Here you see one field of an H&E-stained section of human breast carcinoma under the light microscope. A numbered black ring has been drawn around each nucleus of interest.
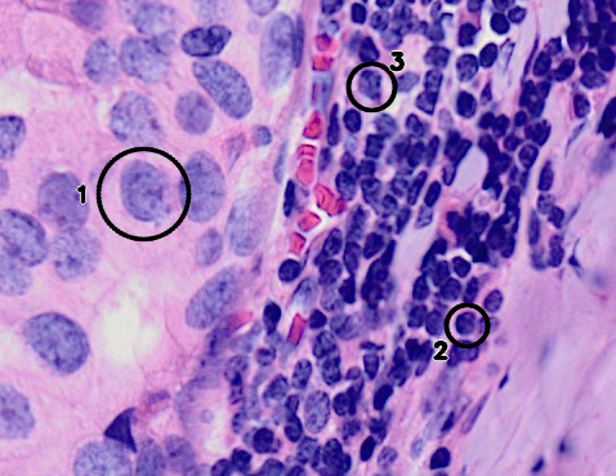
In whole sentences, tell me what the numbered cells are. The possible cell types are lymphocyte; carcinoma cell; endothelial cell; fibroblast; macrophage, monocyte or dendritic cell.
Cell 1 is a carcinoma cell, cell 2 is a lymphocyte and cell 3 is a lymphocyte.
